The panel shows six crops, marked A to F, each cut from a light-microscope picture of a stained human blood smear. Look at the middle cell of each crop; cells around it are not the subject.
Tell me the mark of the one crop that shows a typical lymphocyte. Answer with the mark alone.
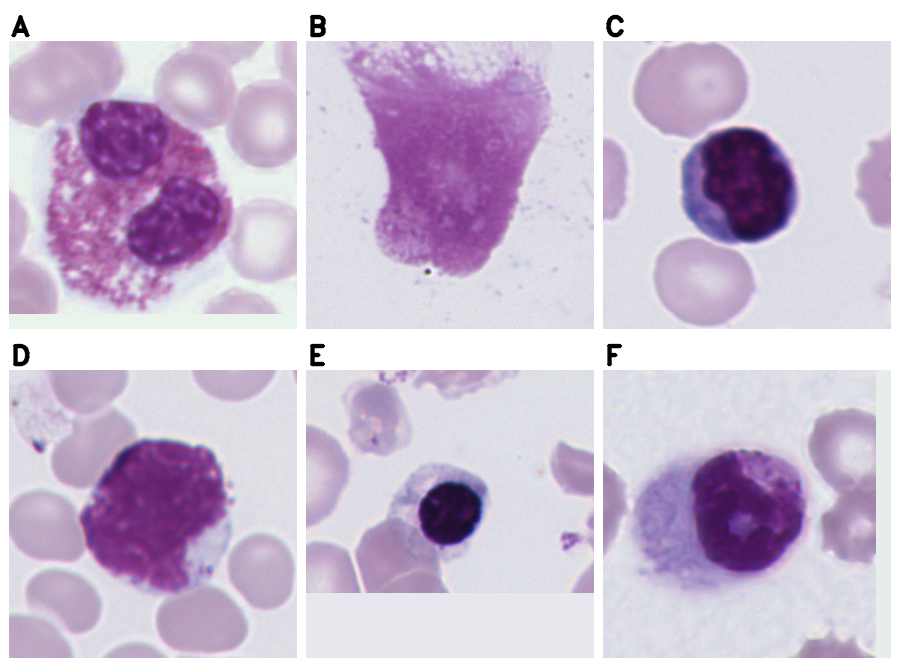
C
